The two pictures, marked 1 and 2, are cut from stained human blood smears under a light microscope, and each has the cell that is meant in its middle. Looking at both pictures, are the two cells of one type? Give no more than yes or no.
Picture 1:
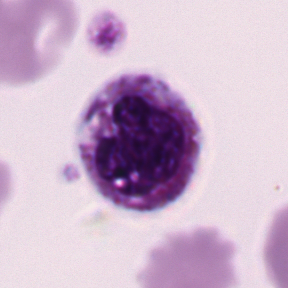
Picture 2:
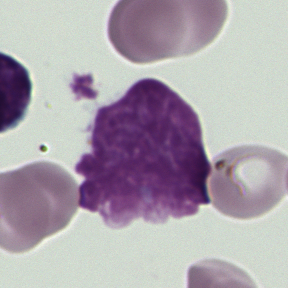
no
